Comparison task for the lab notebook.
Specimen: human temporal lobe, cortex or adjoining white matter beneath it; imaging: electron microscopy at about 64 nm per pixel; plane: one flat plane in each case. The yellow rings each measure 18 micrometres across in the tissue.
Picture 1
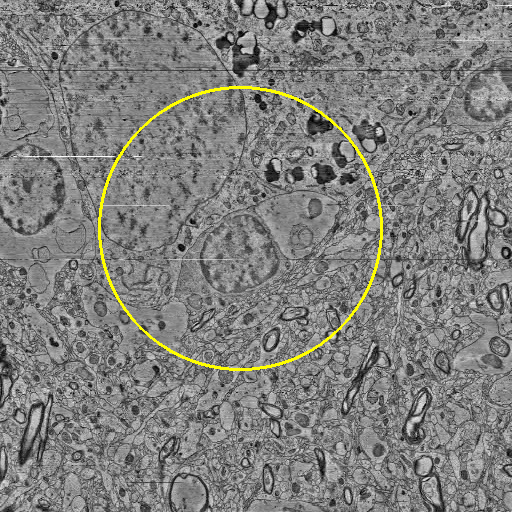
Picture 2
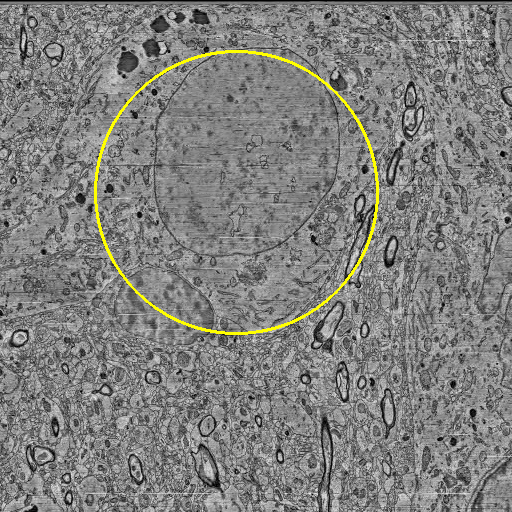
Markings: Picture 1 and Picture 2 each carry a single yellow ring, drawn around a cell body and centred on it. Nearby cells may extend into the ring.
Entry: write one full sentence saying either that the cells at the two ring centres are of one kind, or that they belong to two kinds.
The cells sitting at the ring centres in Picture 1 and Picture 2 belong to two kinds.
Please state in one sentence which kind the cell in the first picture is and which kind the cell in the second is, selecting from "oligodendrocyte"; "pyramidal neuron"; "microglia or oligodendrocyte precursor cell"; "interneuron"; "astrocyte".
The first ringed cell is an oligodendrocyte, the second ringed cell a pyramidal neuron.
